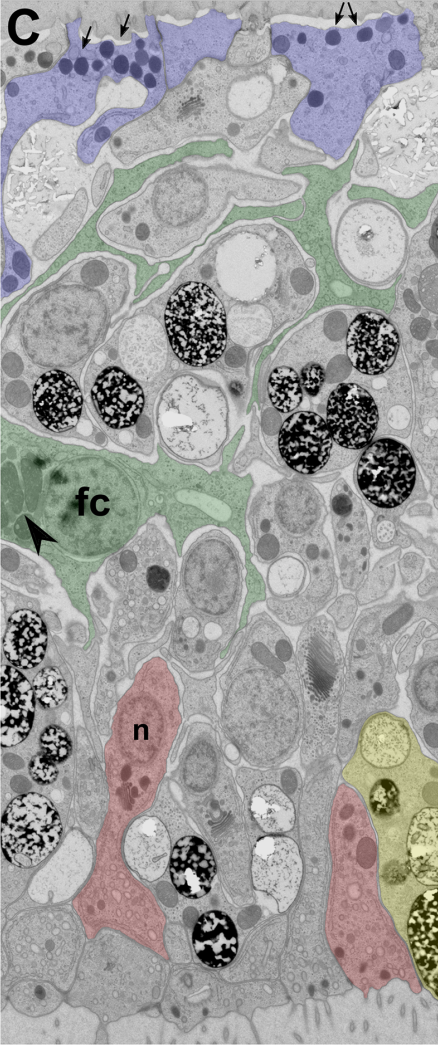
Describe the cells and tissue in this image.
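This section through a placozoan shows three layers: flat upper epithelial cells, a middle layer of branched fiber cells, and a lower epithelium of tall cells. The flat upper cells carry round dark granules near the top surface. The fiber cell in the middle layer sends thin extensions between other cells and holds a cluster of packed oval organelles, while many round bodies with coarse black-and-white mottling lie scattered in the middle and lower layers. In the lower layer, tall narrow cylinder cells reach the bottom surface, beside a cell crowded with large vesicles.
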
